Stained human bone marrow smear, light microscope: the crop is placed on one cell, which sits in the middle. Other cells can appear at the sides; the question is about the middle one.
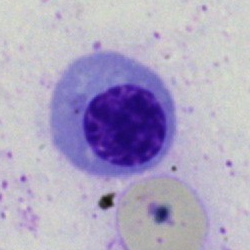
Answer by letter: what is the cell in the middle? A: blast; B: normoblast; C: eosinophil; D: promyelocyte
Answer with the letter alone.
B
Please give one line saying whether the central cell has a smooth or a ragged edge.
No surface projections are present; the cell outline is smooth.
